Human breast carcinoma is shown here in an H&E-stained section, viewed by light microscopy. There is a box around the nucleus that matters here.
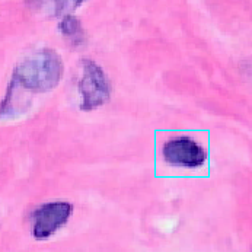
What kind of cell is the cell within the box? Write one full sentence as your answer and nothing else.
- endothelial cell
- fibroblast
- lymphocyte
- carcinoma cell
The cell type of the cell within the box is that of a lymphocyte.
